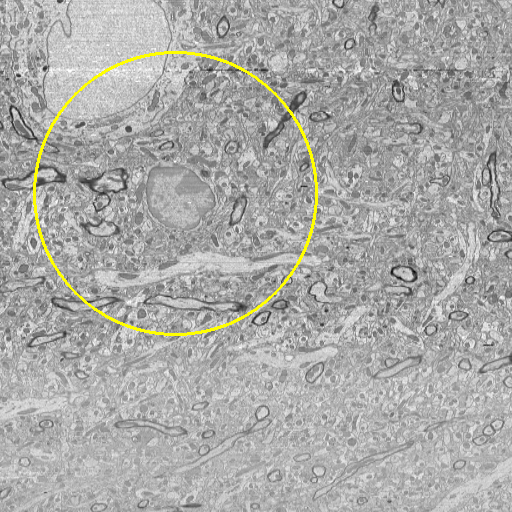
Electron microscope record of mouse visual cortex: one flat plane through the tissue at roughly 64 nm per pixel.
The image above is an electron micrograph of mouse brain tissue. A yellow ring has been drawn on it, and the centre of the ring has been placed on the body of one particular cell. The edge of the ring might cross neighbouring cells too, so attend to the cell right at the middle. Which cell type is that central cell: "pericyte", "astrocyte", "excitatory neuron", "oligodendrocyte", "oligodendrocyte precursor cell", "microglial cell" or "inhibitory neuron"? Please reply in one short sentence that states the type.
The central cell in the ring is a microglial cell.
